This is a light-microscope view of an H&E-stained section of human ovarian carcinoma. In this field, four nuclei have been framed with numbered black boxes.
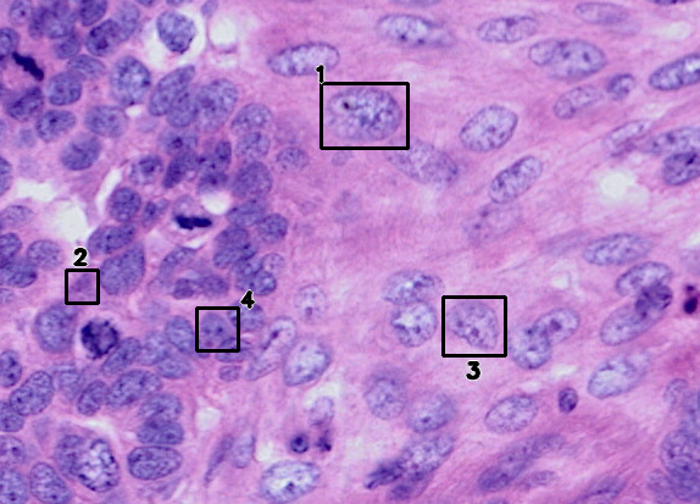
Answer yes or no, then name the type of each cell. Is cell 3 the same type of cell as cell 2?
No, cell 3 is a fibroblast, but cell 2 is a carcinoma cell.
